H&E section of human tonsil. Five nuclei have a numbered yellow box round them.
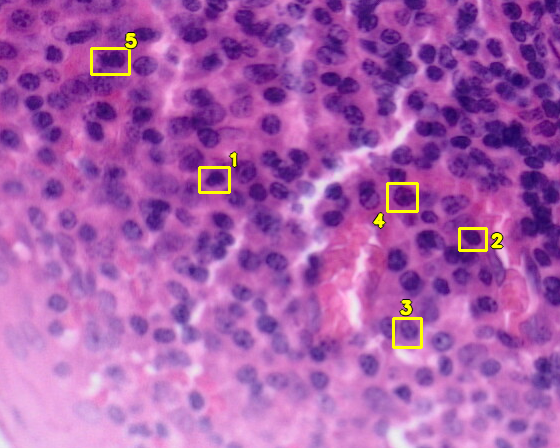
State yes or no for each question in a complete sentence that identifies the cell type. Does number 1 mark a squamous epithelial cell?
Yes, the cell bearing the number 1 is a squamous epithelial cell.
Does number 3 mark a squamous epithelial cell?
No, the cell labelled 3 is a plasma cell and not a squamous epithelial cell.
